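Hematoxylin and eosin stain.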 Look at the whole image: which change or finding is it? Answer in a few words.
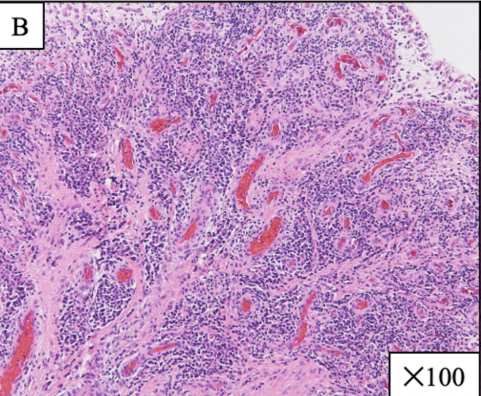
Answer: Inflammatory cell infiltration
